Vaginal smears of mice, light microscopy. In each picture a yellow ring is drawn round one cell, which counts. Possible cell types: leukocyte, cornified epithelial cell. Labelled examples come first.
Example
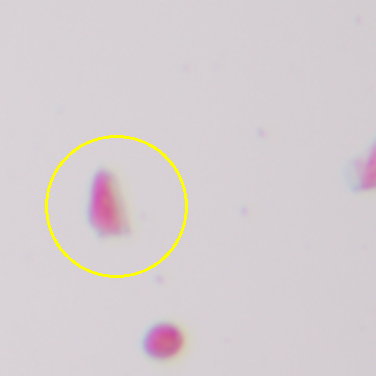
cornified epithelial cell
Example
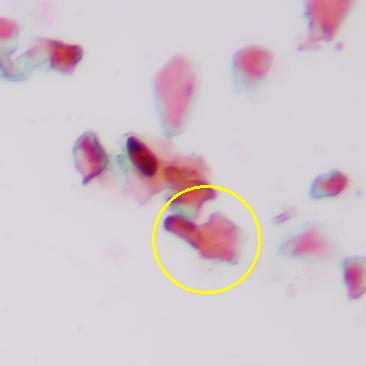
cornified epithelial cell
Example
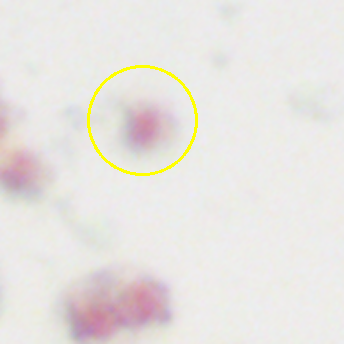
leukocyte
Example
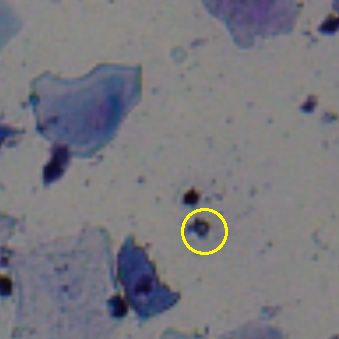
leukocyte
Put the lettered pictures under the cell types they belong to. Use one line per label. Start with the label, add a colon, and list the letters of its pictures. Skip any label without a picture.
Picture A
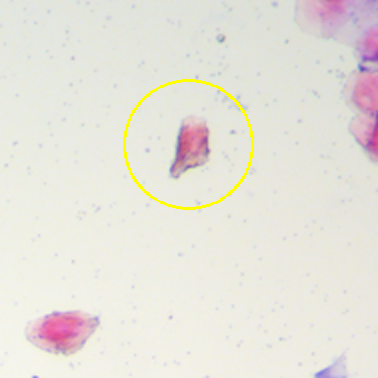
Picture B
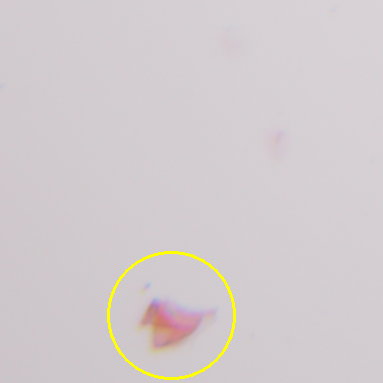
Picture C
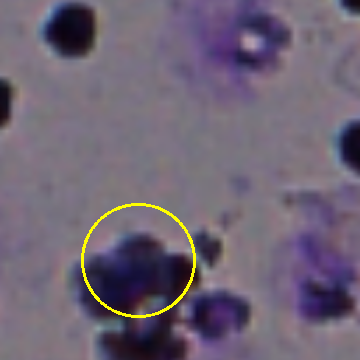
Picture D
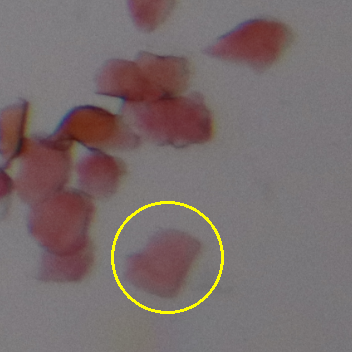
leukocyte: C
cornified epithelial cell: A, B, D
